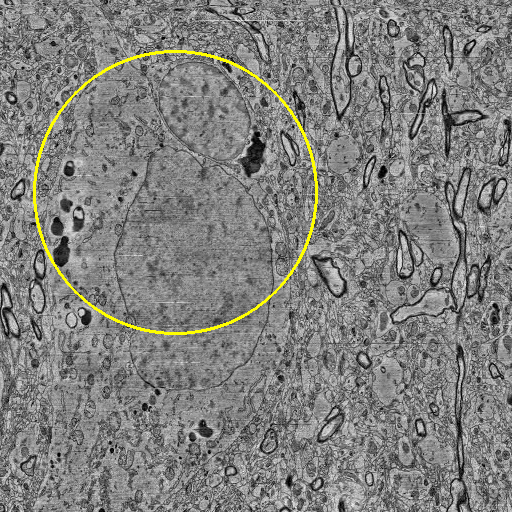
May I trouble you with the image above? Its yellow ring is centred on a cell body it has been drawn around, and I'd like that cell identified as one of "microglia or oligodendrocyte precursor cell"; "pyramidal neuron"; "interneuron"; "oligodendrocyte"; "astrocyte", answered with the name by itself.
pyramidal neuron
